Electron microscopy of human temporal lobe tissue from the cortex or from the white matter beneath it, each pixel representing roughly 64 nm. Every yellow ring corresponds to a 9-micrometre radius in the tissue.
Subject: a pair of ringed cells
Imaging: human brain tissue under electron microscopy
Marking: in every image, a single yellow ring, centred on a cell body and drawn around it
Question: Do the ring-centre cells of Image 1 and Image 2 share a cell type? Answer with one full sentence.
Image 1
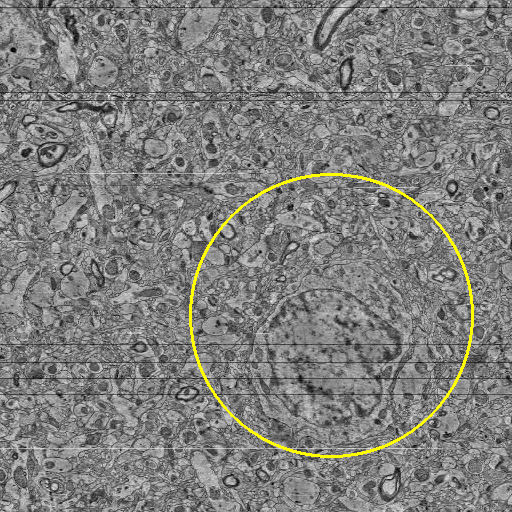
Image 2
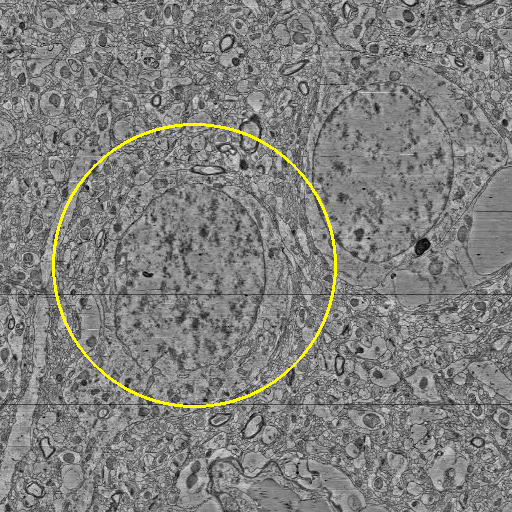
Yes, at each ring's centre in the images sits a cell of one common type.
